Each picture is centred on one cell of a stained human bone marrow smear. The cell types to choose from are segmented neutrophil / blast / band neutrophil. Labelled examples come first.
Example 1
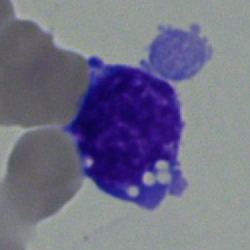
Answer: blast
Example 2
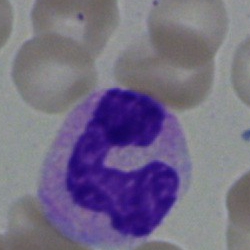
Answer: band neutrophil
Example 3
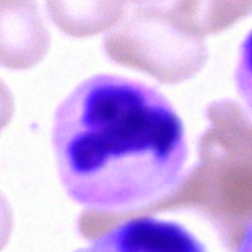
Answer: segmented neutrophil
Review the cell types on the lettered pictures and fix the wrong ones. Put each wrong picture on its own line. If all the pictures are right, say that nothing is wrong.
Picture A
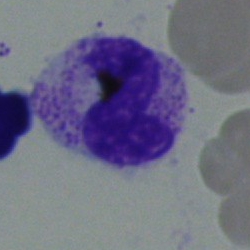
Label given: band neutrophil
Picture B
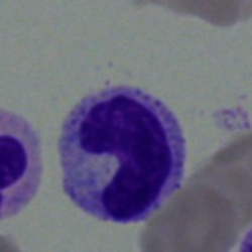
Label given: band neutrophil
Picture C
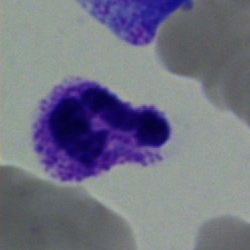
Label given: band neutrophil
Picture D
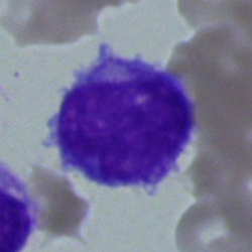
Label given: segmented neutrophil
C is labelled band neutrophil; correct label: segmented neutrophil
D is labelled segmented neutrophil; correct label: blast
